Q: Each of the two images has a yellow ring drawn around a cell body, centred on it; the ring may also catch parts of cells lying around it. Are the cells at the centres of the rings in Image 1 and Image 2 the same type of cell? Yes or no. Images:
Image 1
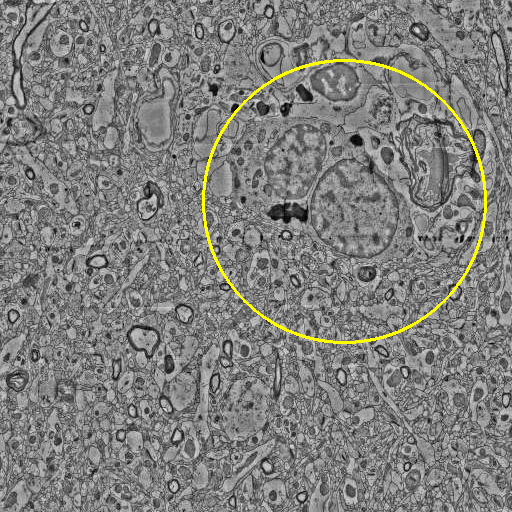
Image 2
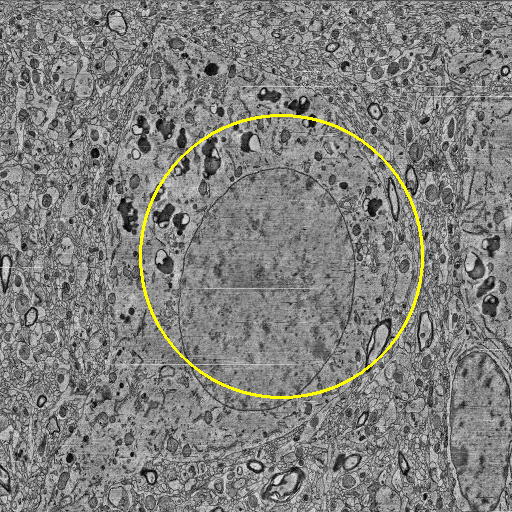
no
